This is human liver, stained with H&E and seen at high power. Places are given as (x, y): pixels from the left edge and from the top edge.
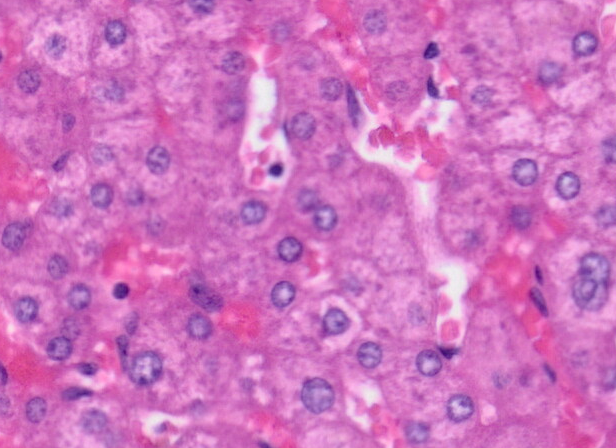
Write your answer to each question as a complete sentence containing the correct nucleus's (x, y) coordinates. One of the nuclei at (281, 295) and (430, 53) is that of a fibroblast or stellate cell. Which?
Rather than the other nucleus, the one at (430, 53) belongs to a fibroblast or stellate cell.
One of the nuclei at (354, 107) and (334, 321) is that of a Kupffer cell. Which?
Of these two nuclei, it is the one at (354, 107) that belongs to a Kupffer cell.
